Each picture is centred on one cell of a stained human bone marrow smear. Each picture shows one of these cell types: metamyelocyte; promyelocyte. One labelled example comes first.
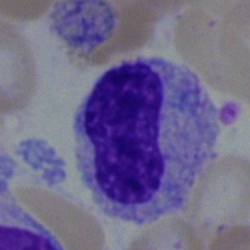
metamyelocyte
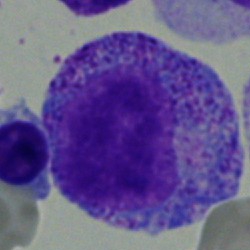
promyelocyte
